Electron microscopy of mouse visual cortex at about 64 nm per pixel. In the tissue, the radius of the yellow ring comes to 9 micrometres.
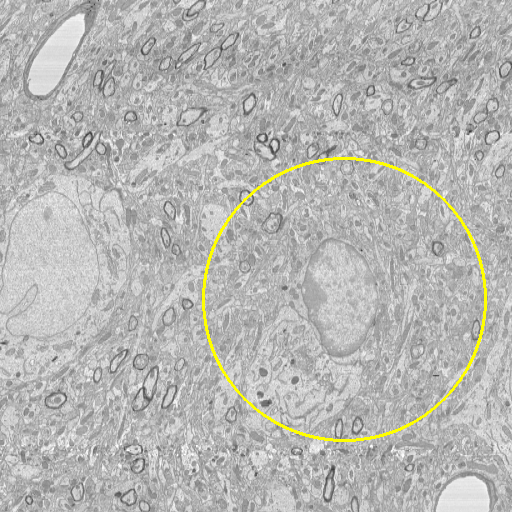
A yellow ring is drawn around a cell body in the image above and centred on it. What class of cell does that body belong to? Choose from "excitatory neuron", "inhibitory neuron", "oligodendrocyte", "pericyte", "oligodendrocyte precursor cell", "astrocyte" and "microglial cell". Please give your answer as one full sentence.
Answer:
The yellow ring above is centred on the cell body of an oligodendrocyte.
